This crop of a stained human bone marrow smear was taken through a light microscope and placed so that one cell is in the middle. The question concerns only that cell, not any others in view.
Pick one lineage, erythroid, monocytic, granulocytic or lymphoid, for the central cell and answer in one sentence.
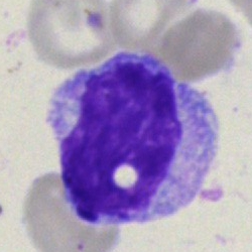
With respect to lineage, the middle cell falls within the monocytic lineage.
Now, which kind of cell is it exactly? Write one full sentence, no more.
Within this crop, a monocyte occupies the central position.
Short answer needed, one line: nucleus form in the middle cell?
The cell carries one compact nucleus shaped round, oval or like a kidney.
